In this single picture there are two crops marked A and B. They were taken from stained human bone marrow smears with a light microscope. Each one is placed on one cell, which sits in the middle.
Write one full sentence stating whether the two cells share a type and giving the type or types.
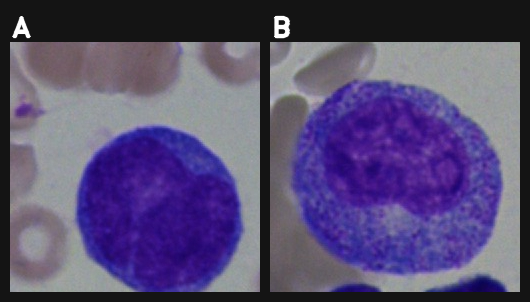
No, crop A is where a blast is shown, and crop B is where a promyelocyte is shown.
